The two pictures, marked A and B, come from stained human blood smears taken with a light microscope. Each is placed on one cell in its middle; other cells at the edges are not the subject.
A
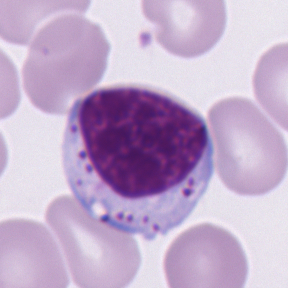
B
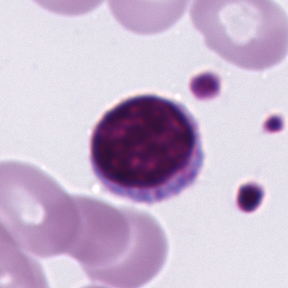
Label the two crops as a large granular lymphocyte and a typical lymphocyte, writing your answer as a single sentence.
Crop A features a large granular lymphocyte, and crop B features a typical lymphocyte.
